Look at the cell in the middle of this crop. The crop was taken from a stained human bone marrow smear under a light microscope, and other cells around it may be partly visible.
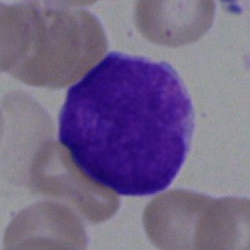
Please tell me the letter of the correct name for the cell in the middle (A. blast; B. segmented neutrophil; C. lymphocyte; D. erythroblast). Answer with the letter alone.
A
